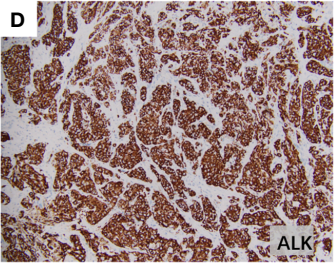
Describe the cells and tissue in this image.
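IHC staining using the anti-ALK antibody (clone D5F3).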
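This field shows densely packed cells gathered into irregular nests, cords and islands, separated by thin pale strands of fibrous stroma. Almost every cell within the nests is stained an intense dark brown, so that the islands stand out sharply against the pale background. The brown colour is spread evenly through the cell bodies rather than confined to scattered cells or small dots. Together this is a solid cellular growth with intense, diffuse cytoplasmic staining throughout.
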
